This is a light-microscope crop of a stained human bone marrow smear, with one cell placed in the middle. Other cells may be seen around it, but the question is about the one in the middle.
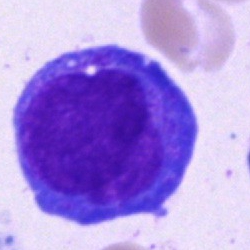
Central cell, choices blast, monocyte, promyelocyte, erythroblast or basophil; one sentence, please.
The cell in the middle of the field of view is a blast.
